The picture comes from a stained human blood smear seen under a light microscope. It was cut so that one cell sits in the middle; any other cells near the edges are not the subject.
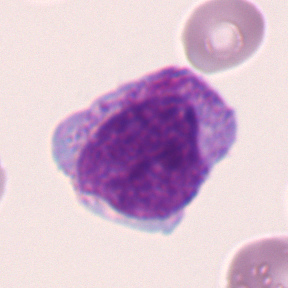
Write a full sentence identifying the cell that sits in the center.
The cell found in the middle of this crop is an atypical promyelocyte.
